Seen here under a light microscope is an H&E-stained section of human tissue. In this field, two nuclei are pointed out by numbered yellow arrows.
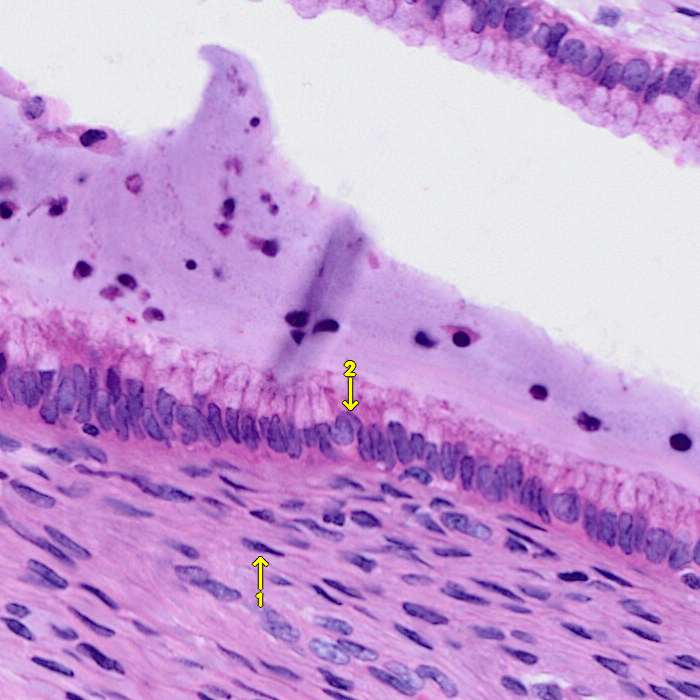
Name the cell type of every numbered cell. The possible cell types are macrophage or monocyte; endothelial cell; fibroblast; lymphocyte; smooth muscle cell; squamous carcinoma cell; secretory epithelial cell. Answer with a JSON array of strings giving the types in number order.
["fibroblast", "secretory epithelial cell"]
